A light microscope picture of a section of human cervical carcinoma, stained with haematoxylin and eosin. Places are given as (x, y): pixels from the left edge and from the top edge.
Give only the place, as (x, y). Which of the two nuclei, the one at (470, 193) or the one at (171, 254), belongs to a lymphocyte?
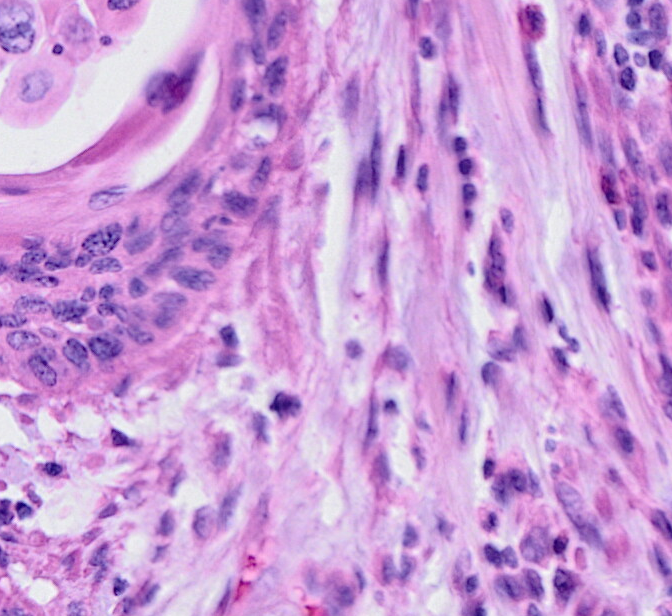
(470, 193)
